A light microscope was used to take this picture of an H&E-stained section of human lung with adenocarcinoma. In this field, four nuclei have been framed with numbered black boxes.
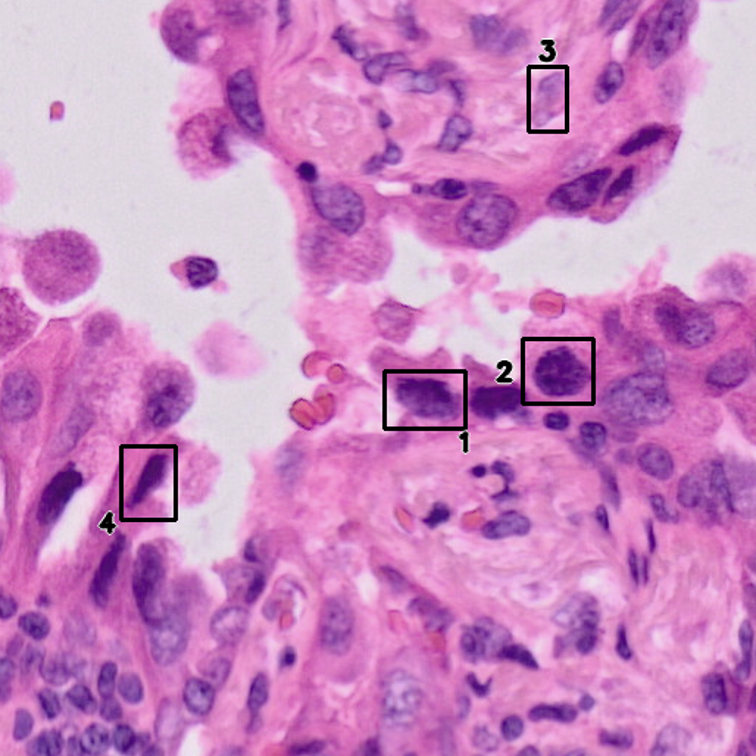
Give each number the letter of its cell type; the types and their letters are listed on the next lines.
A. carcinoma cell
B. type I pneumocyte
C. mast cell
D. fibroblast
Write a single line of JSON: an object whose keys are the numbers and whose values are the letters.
{"1": "A", "2": "A", "3": "D", "4": "A"}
